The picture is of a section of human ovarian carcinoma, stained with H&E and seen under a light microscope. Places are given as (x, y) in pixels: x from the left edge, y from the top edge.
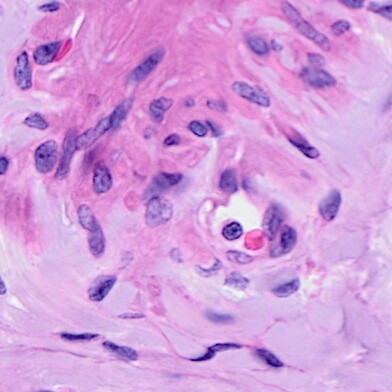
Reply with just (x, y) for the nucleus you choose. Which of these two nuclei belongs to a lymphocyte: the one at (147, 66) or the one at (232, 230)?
(232, 230)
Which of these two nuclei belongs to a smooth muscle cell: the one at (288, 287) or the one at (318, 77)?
(318, 77)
